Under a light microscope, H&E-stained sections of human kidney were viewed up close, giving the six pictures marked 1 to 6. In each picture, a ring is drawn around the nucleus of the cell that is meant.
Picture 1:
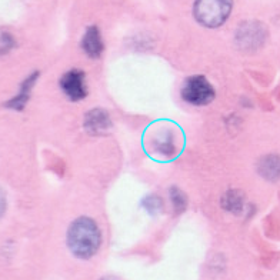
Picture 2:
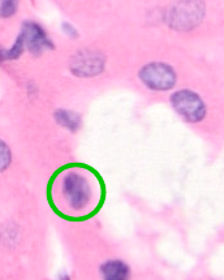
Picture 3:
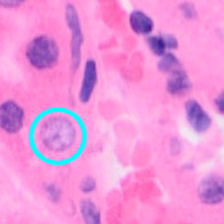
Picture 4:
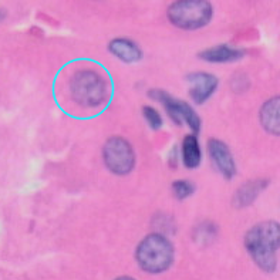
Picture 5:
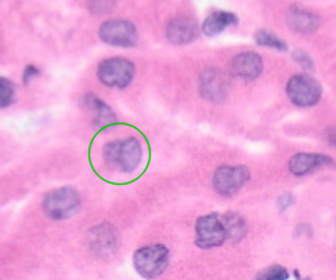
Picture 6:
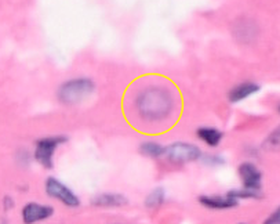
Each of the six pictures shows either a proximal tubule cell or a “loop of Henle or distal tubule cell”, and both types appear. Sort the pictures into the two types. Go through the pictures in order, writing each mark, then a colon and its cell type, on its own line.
1: loop of Henle or distal tubule cell
2: loop of Henle or distal tubule cell
3: proximal tubule cell
4: proximal tubule cell
5: proximal tubule cell
6: proximal tubule cell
